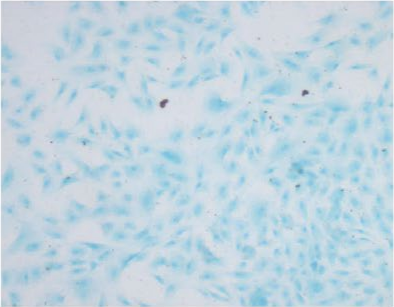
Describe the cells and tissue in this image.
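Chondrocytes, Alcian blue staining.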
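The cells are flattened and polygonal to spindle-shaped, each with a slightly darker blue central region, and they lie side by side in loose swirls. A few small dark purple specks are scattered over the field.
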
